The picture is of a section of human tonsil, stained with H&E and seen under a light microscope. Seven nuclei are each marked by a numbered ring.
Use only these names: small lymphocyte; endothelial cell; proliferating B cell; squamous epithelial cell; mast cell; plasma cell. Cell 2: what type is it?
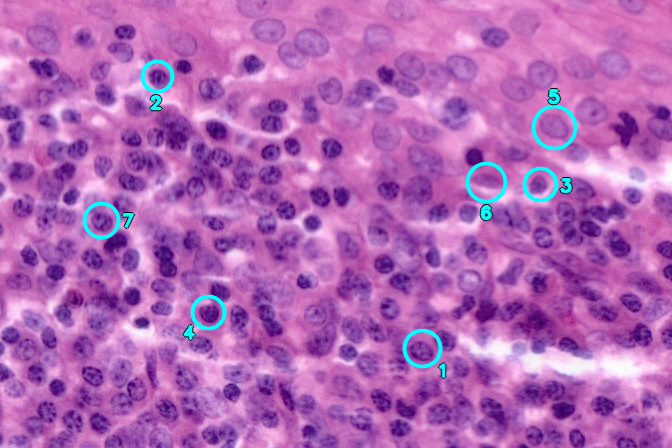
plasma cell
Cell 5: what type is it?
squamous epithelial cell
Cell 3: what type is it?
squamous epithelial cell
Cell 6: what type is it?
squamous epithelial cell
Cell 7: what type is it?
plasma cell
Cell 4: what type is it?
plasma cell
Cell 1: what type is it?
plasma cell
